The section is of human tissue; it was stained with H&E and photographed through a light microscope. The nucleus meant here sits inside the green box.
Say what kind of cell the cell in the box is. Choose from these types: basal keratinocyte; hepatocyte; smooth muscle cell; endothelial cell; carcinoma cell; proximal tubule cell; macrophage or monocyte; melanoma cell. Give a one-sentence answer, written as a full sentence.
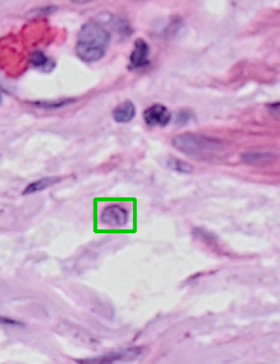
In the tissue under study, the cell in the box is a macrophage or monocyte.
